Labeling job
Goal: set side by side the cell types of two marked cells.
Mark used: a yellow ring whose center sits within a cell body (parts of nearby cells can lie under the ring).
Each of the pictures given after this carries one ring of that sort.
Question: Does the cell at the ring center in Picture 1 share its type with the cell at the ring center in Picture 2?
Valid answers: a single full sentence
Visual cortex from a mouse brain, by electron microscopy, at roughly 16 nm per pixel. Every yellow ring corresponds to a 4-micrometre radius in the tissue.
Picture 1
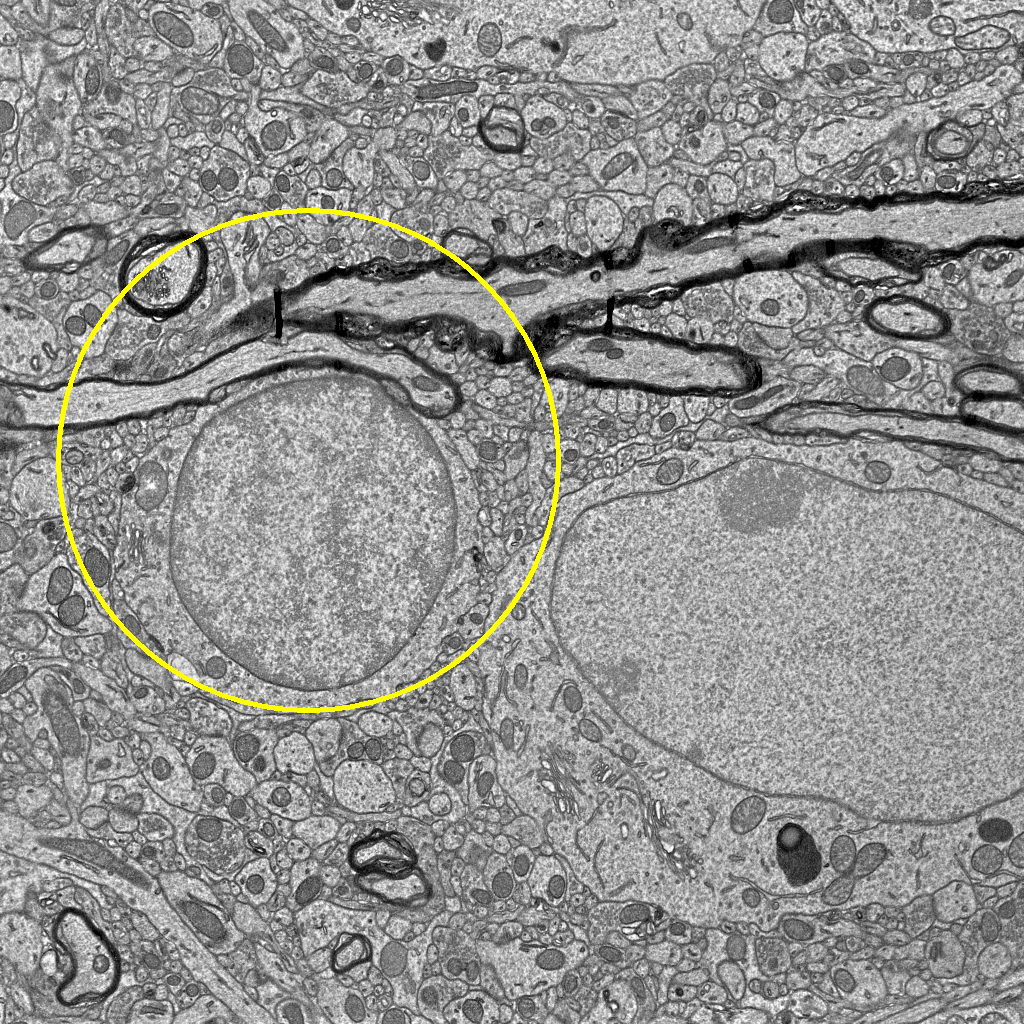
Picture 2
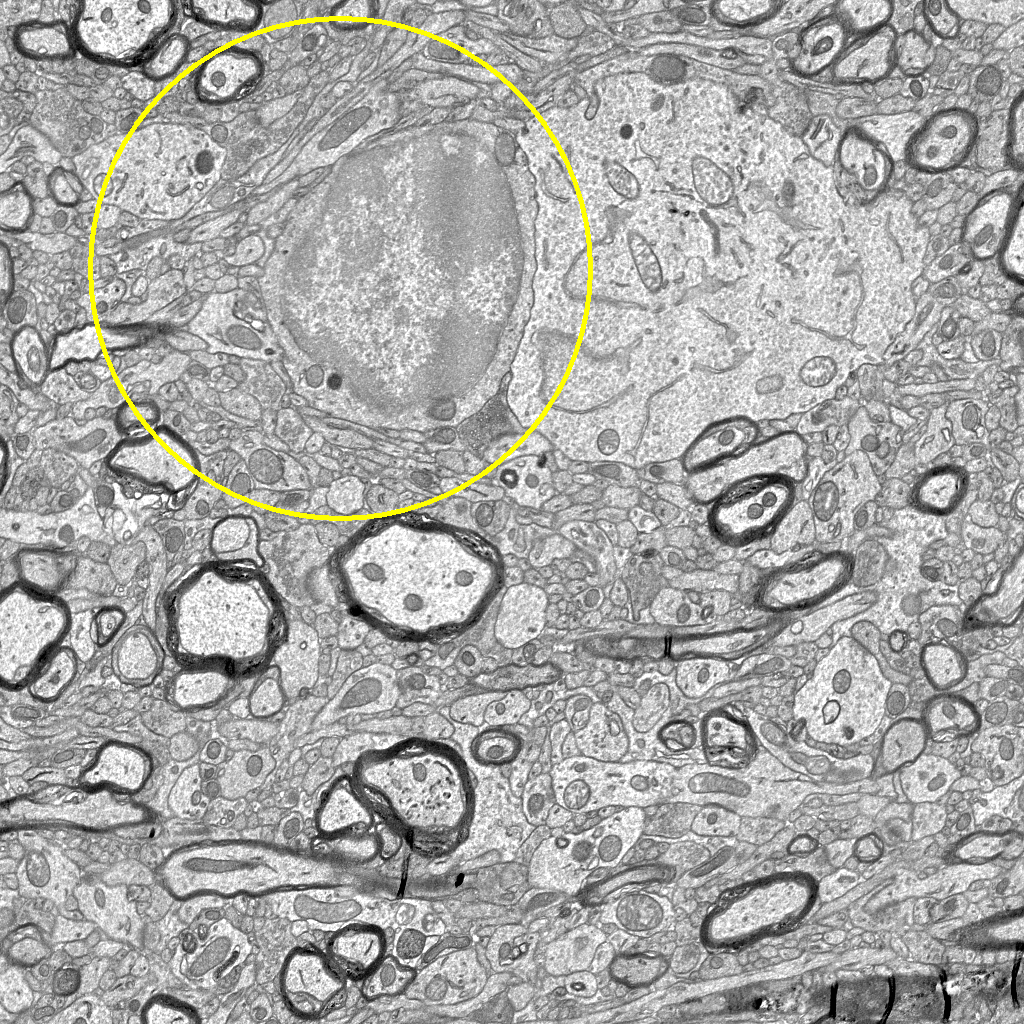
Yes, in Pictures 1 and 2 the cells at the ring centers share one type.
